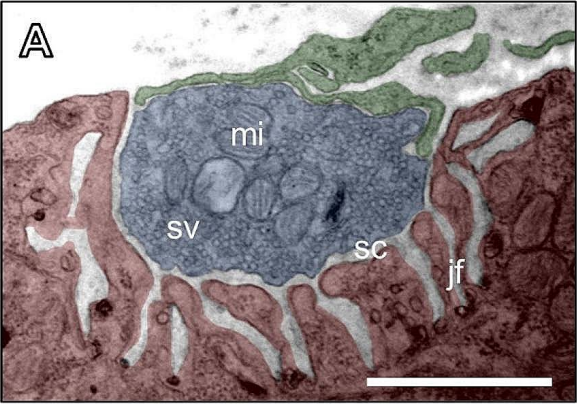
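This is a neuromuscular junction seen in cross section, with a rounded nerve terminal sitting in a shallow depression of the muscle fibre. The terminal is packed with small round synaptic vesicles and holds several mitochondria with visible cristae near its centre. A thin sheet of Schwann cell cytoplasm caps the terminal on the side away from the muscle. Between terminal and muscle runs a narrow synaptic cleft, and from it many slender pale junctional folds plunge deep into the muscle surface in a comb-like array.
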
